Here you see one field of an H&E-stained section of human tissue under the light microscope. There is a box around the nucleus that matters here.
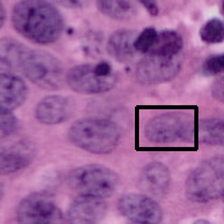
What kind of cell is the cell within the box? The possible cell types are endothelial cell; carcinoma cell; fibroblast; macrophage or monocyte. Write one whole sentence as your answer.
The cell meant here is an endothelial cell.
